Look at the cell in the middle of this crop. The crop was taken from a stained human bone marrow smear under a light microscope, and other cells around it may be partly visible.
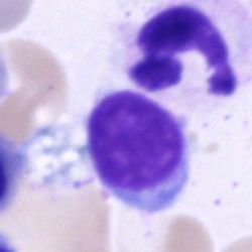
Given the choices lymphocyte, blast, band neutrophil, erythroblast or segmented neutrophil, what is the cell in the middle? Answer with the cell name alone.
lymphocyte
